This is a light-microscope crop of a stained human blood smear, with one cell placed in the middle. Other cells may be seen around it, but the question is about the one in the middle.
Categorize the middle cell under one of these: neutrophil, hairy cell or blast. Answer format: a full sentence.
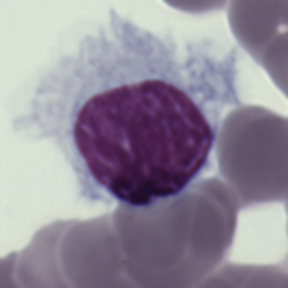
Here the cell in the middle is a hairy cell.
